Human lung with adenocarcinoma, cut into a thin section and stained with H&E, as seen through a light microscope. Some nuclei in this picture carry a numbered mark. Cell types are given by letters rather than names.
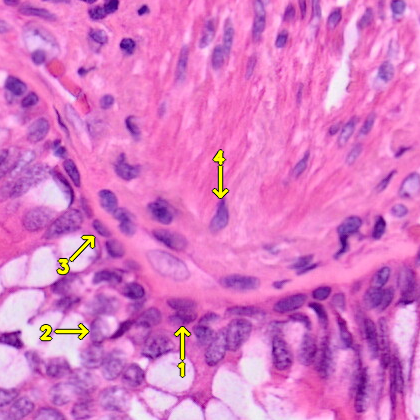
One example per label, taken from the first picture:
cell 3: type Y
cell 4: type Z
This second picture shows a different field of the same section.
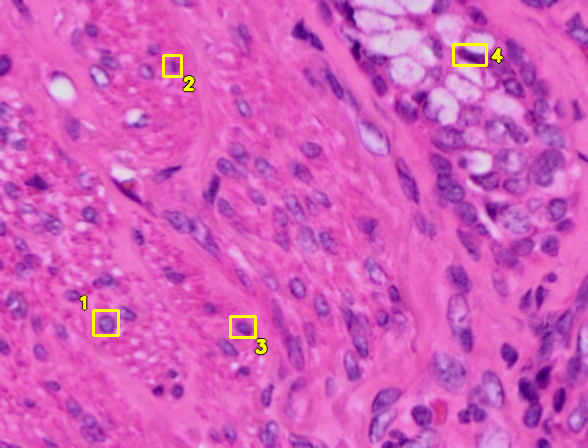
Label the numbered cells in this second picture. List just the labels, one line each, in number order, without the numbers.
type Z
type Z
type Z
type Y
